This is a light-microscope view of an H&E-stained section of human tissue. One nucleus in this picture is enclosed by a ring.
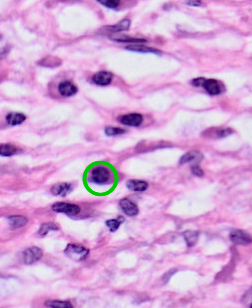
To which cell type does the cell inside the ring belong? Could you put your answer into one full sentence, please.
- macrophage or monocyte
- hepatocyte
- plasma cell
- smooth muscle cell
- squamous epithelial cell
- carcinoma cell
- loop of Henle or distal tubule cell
As for its identity, the cell inside the ring is a plasma cell.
